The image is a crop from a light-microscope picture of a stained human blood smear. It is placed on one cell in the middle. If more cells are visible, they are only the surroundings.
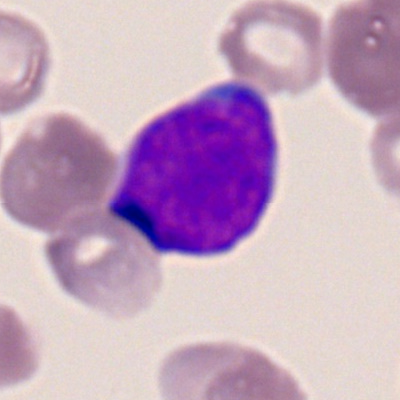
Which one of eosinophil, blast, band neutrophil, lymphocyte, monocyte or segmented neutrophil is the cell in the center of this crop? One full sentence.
The cell centered in this field of view is a blast.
